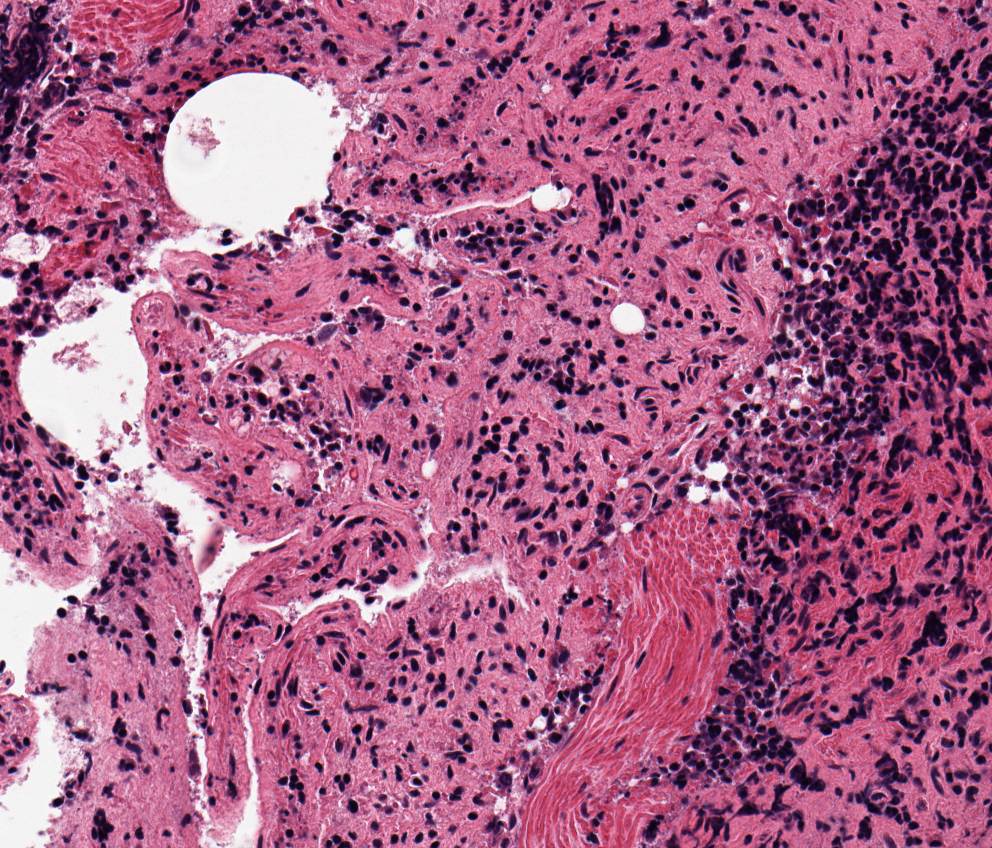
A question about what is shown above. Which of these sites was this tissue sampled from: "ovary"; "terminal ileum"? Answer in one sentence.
The site this tissue was sampled from is the terminal ileum.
